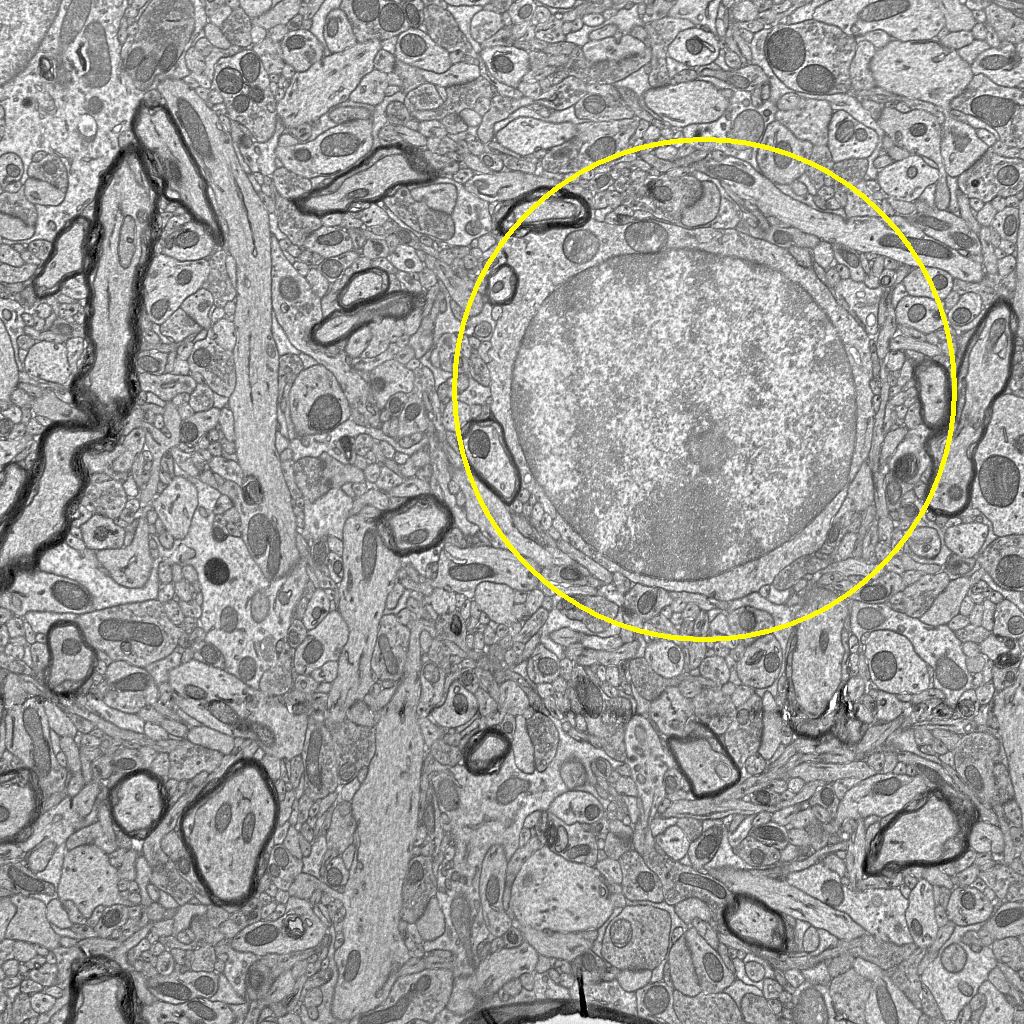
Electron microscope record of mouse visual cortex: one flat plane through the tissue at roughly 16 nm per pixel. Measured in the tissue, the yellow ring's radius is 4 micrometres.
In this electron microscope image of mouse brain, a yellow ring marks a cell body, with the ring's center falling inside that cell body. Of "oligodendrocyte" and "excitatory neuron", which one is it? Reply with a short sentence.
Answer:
It is an oligodendrocyte at the center of the ring.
